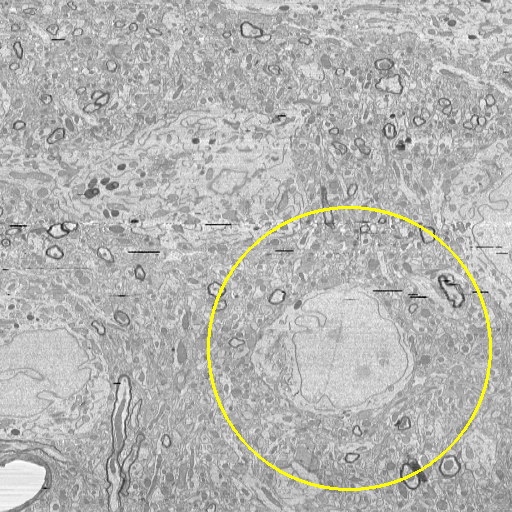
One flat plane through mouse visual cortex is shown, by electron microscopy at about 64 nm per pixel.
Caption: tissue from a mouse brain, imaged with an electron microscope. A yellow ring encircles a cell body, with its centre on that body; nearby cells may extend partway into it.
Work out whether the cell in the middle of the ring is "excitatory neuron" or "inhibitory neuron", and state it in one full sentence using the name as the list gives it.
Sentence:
In the picture, the cell that the yellow ring surrounds at its centre is an excitatory neuron.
